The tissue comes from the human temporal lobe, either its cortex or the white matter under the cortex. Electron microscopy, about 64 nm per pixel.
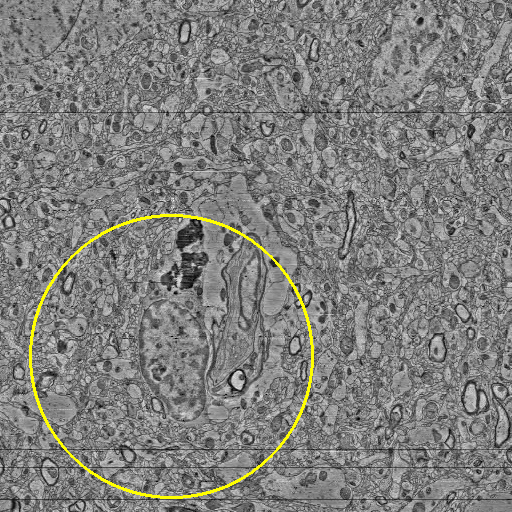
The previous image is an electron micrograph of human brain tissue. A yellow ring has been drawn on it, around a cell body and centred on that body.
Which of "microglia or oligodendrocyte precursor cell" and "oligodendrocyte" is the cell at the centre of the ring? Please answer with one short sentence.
The cell body at the centre of the ring belongs to an oligodendrocyte.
